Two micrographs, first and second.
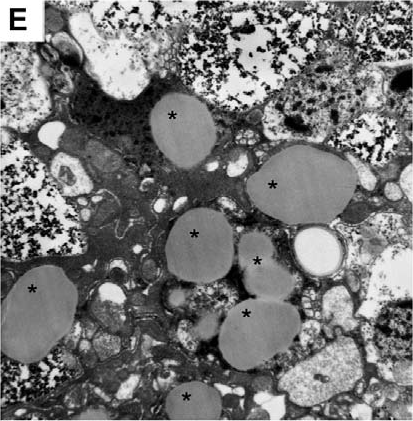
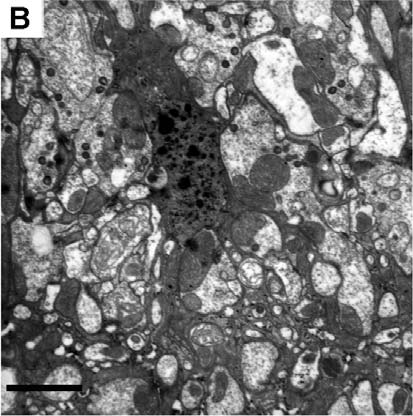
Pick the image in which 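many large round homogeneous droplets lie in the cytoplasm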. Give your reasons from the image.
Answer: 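The first image. First image: several large round grey homogeneous bodies fill the dark central cytoplasm. Second image: the dark central cytoplasm holds only small dark granules and no large homogeneous bodies.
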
